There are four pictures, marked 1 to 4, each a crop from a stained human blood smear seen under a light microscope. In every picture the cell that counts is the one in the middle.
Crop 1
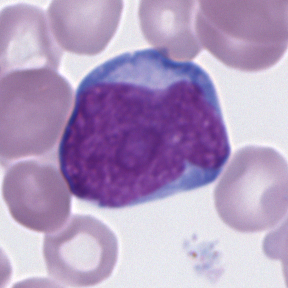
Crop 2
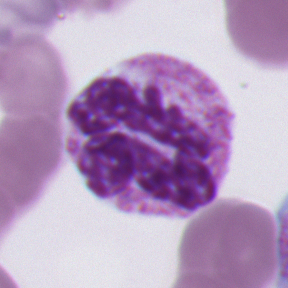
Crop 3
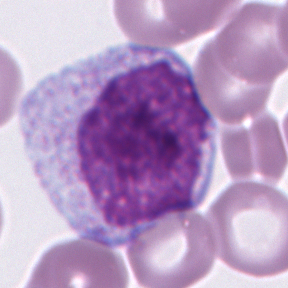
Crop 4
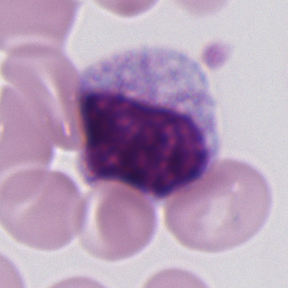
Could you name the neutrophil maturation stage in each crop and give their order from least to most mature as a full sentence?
The stages, ordered from least to most mature, are crop 1 (a myeloblast), crop 3 (a promyelocyte), crop 4 (a metamyelocyte) and crop 2 (a segmented neutrophil).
